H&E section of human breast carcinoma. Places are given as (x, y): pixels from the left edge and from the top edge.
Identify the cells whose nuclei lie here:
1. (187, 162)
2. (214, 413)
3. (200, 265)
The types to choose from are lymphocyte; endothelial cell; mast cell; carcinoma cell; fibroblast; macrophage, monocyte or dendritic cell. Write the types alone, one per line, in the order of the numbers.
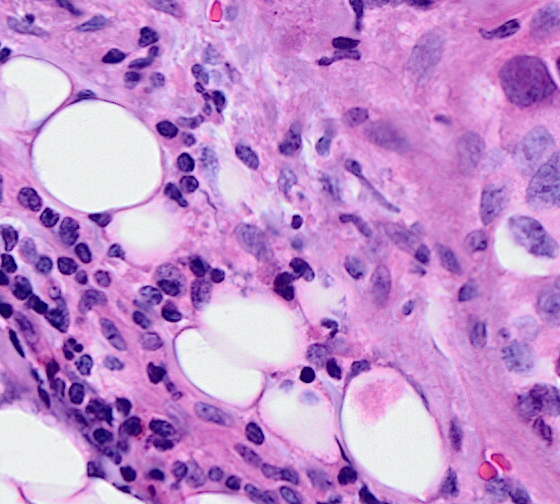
lymphocyte
endothelial cell
lymphocyte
